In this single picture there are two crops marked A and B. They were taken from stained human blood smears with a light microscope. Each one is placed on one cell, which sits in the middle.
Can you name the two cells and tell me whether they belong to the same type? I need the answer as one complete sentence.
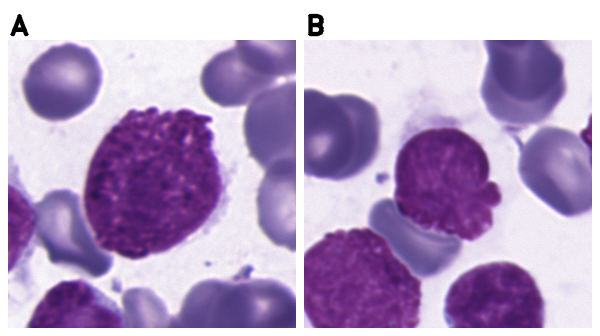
Yes, the crops both have myeloblasts in the middle.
